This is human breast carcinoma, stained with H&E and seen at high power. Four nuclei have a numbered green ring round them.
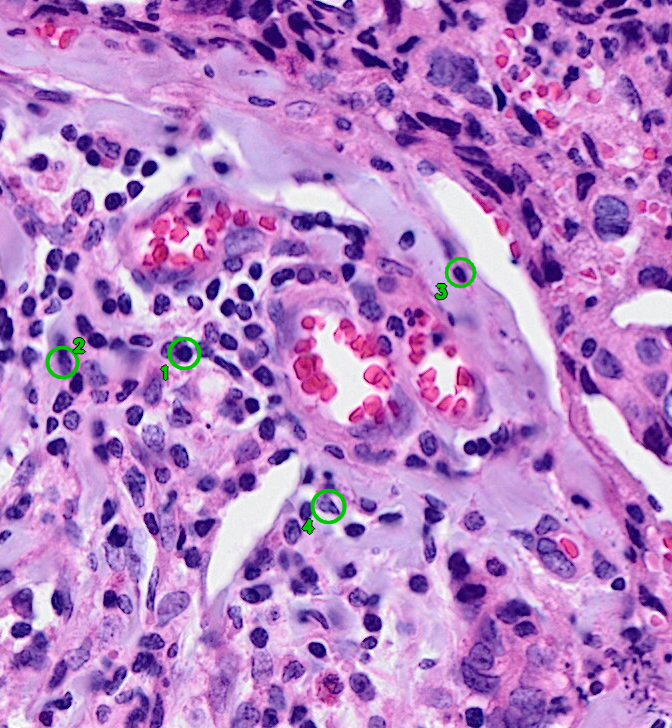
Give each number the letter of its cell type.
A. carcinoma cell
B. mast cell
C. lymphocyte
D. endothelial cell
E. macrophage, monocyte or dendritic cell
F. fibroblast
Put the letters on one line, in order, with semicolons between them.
C; C; B; C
